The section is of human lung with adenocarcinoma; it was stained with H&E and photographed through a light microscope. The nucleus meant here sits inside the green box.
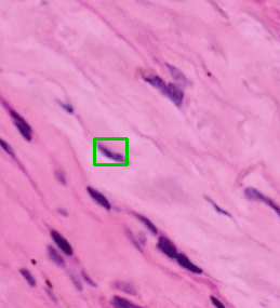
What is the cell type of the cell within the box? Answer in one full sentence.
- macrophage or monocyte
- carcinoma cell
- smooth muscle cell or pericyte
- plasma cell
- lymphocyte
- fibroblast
In this preparation, the cell within the box is a fibroblast.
